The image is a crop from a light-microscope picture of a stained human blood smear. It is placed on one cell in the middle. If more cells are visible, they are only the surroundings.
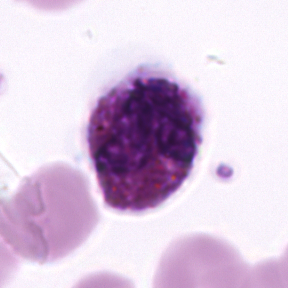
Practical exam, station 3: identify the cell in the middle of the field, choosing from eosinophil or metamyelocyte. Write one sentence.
Regarding the central cell, it is an eosinophil.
